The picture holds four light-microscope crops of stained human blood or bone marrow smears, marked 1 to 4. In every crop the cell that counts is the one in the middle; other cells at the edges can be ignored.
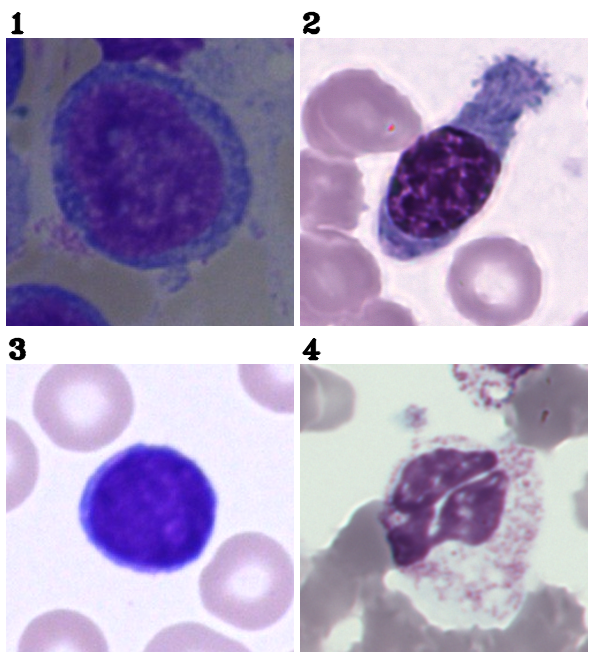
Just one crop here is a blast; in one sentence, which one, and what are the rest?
Crop 1 goes down as a blast, while crop 2 is a plasma cell, crop 3 is a lymphocyte and crop 4 is a segmented neutrophil.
